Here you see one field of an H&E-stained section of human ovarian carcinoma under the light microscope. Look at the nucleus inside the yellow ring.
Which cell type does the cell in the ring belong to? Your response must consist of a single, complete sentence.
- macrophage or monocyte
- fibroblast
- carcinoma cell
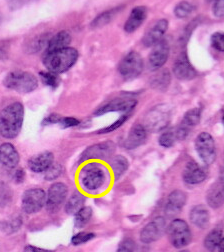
The identity of the cell in the ring: it is a macrophage or monocyte.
